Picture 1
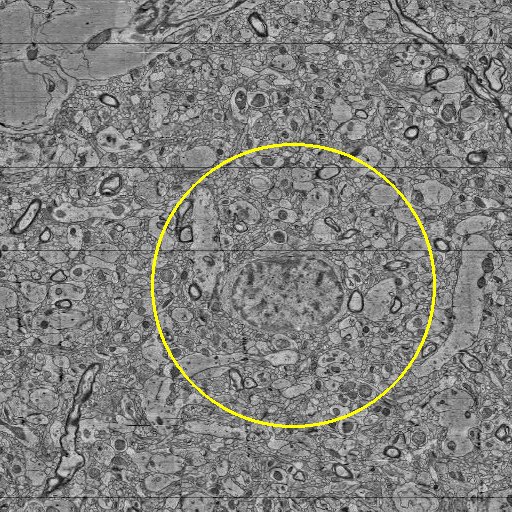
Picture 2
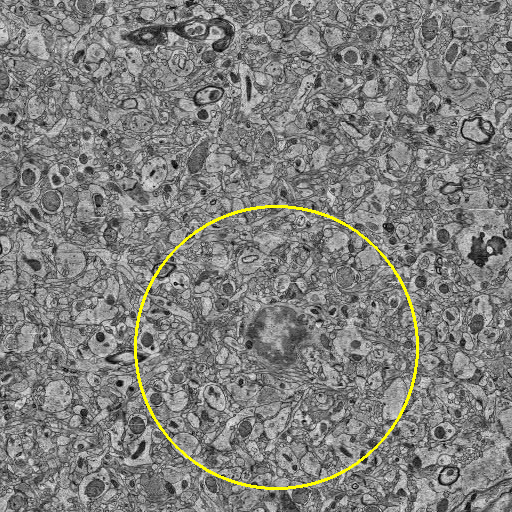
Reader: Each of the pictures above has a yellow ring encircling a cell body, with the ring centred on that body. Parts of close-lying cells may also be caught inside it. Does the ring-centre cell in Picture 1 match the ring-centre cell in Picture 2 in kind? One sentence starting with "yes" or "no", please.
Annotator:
Yes, Picture 1 and Picture 2 show ring-centre cells of a single kind.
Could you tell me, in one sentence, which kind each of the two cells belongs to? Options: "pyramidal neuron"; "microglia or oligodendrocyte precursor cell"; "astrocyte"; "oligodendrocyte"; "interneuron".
Each cell, in the first picture and the second, is an oligodendrocyte.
